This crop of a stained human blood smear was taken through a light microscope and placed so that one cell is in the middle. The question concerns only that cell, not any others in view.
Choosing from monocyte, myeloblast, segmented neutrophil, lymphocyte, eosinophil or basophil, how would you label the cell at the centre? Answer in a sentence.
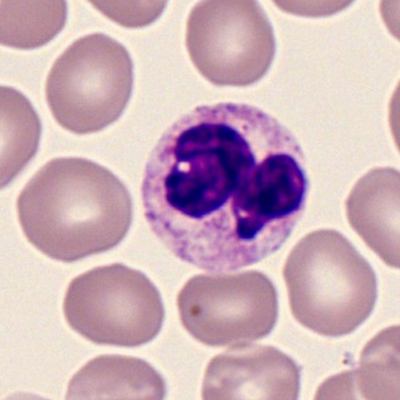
The cell nearest the centre of this crop is a segmented neutrophil.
